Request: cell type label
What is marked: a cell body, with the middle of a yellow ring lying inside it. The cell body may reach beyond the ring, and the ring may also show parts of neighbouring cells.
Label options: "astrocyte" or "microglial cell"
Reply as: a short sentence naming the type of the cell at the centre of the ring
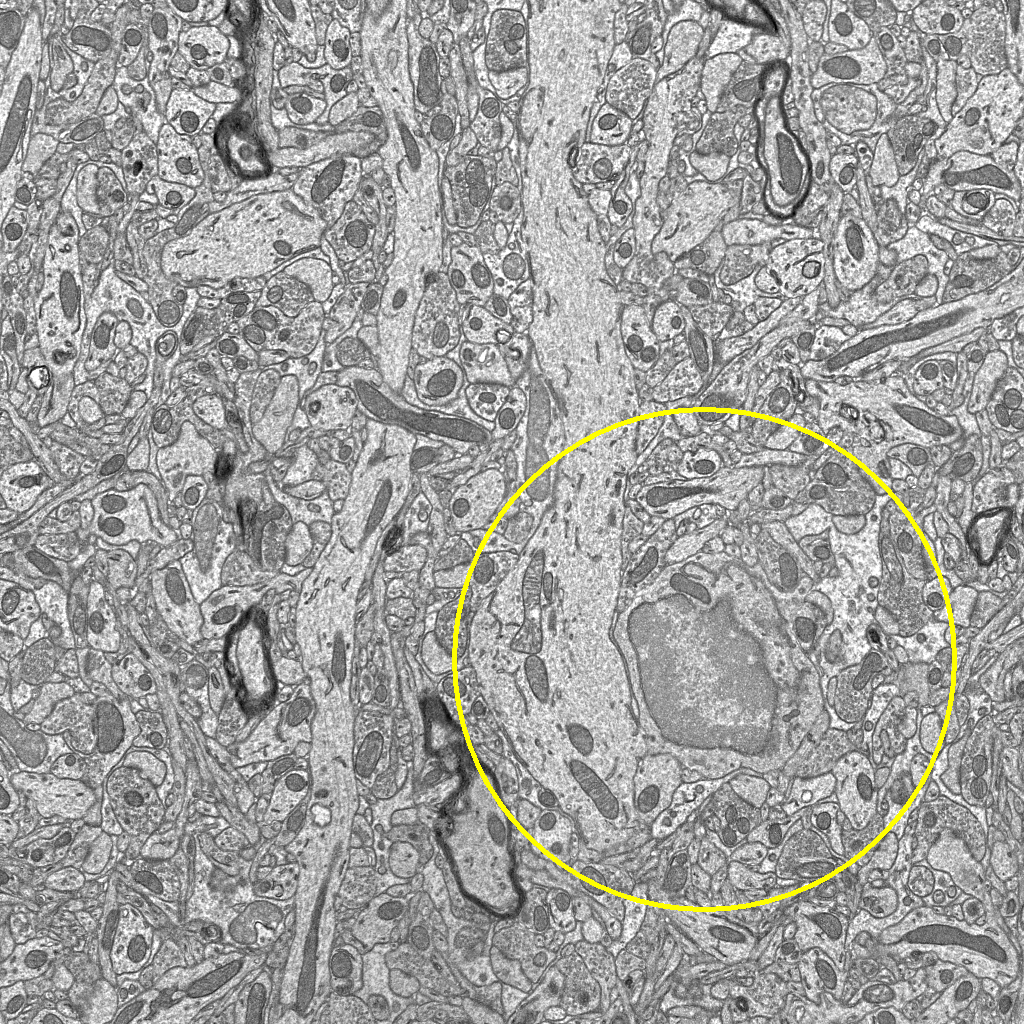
The marked cell body is that of a microglial cell.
